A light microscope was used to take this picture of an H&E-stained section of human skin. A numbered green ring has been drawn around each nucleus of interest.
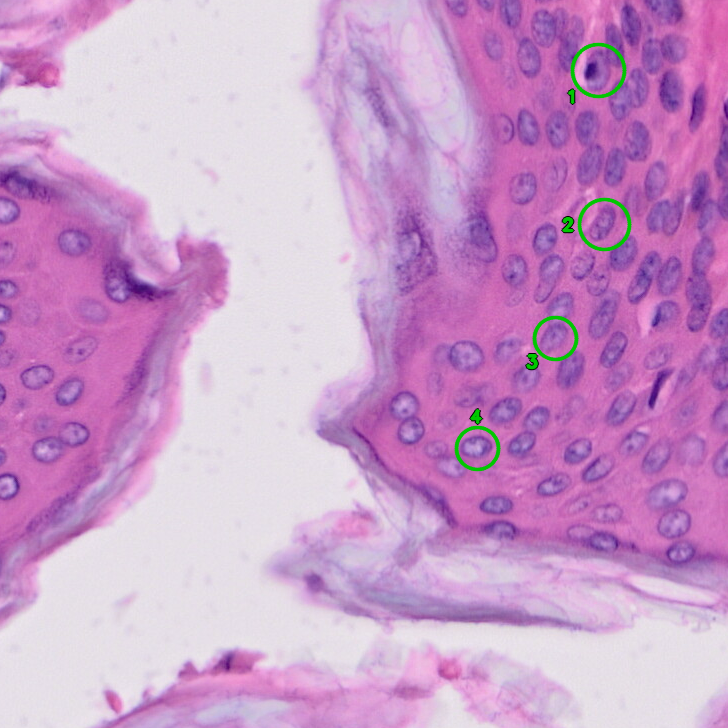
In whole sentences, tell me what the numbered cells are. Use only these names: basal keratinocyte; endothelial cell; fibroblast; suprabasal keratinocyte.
Cell 1 is a basal keratinocyte, cell 2 is a suprabasal keratinocyte, cell 3 is a suprabasal keratinocyte and cell 4 is a suprabasal keratinocyte.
